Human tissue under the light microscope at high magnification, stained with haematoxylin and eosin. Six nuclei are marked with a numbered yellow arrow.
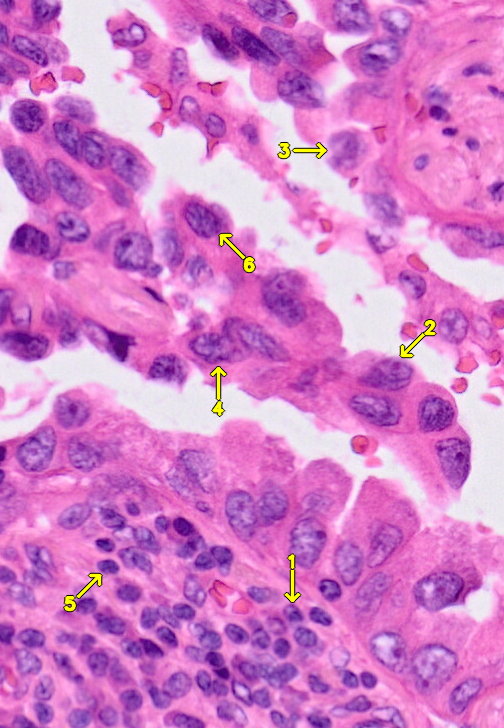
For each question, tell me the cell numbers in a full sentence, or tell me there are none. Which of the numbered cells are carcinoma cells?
Regarding the numbered cells 2, 3, 4 and 6, these are carcinoma cells.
